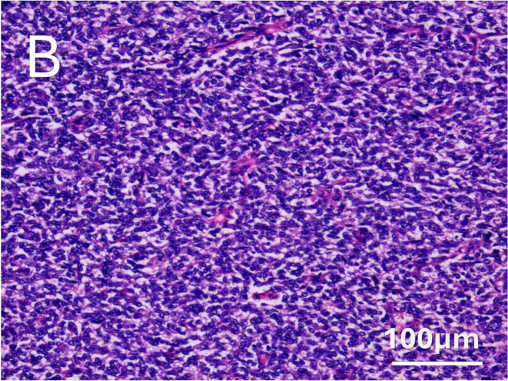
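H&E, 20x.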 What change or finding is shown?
Sheets of uniform round to oval tumor cells.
